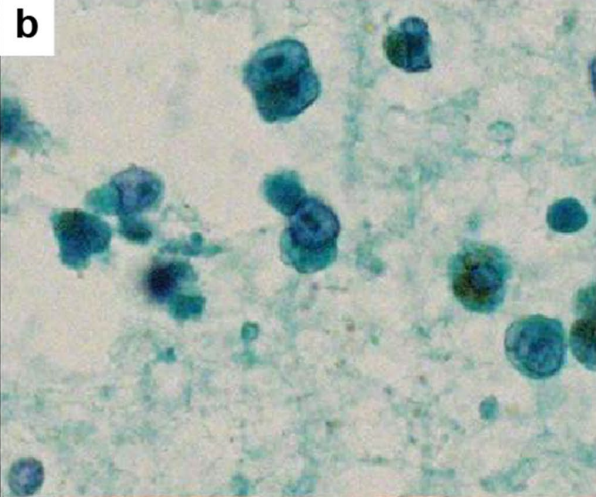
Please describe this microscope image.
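Some nuclei have indented or irregular outlines and darker chromatin. The cells do not form sheets or glands but lie dispersed as individual cells.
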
